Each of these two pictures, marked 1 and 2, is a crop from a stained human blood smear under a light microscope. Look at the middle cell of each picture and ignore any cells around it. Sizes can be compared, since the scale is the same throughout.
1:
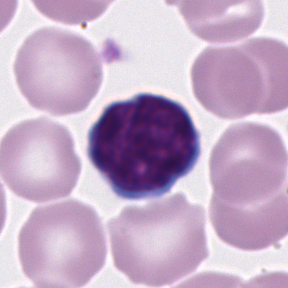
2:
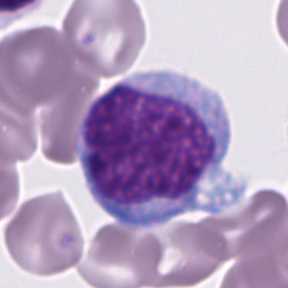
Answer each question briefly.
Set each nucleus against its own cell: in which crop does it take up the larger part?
1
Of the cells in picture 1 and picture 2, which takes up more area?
2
